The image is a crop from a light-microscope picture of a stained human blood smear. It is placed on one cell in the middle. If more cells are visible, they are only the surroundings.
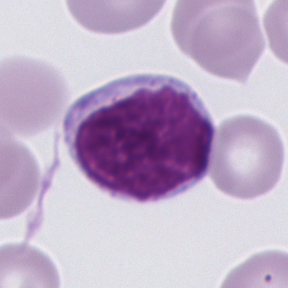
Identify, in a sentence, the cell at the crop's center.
The cell at the centre of the field is a large granular lymphocyte.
